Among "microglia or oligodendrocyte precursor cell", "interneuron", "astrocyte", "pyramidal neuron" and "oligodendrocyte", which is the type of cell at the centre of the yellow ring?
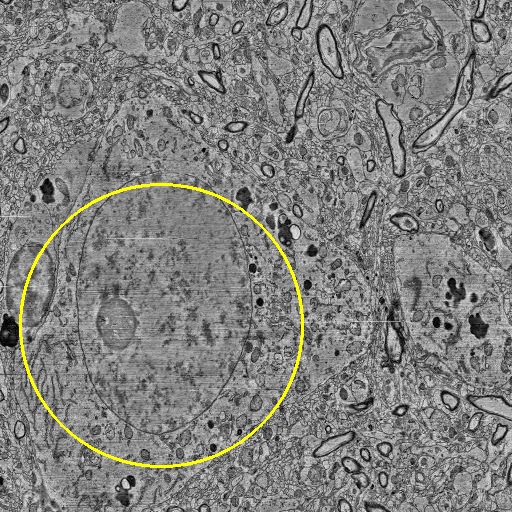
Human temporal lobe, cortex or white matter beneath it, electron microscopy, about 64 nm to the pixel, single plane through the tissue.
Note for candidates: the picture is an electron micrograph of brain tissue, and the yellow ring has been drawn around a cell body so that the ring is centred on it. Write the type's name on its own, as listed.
pyramidal neuron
